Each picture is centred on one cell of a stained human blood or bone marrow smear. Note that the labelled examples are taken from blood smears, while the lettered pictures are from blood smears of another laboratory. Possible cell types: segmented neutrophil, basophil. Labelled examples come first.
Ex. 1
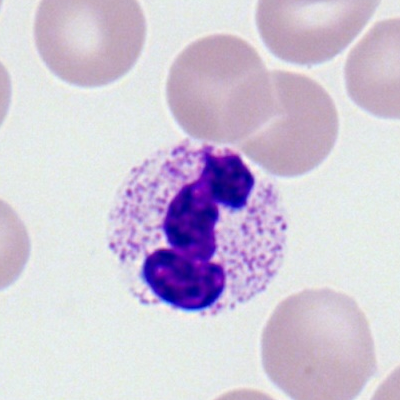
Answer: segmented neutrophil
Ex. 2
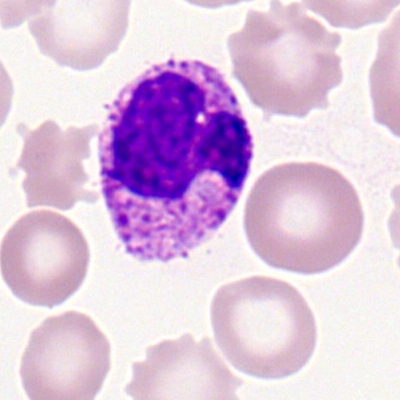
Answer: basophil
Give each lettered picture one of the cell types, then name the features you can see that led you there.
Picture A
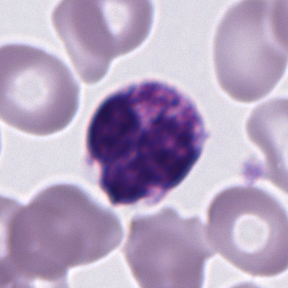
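Answer: basophil. Coarse dark purple granules lie over the nucleus and partly hide its outline.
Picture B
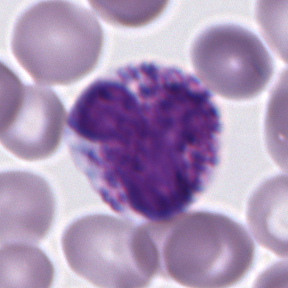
Answer: basophil. The cell holds coarse dark purple granules.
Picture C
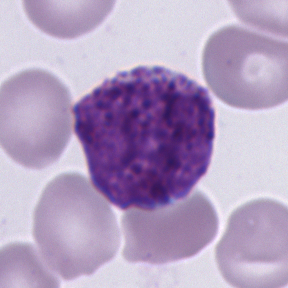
Answer: basophil. Coarse dark purple granules are scattered over the whole cell.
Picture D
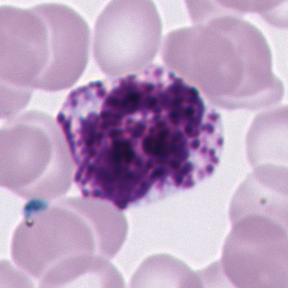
Answer: basophil. The dark purple nucleus fills most of the cell.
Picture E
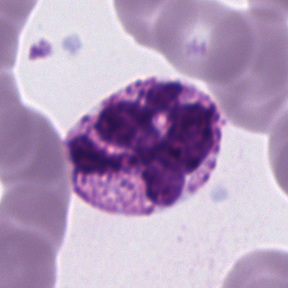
Answer: basophil. Coarse purple granules are scattered through the cytoplasm and along the cell edge.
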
